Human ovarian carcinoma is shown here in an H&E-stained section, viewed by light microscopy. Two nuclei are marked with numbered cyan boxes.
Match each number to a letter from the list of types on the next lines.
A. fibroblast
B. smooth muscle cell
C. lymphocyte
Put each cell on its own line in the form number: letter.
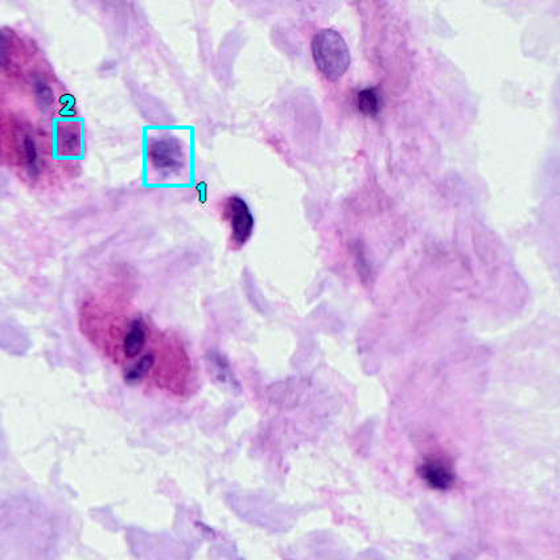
1: A
2: B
